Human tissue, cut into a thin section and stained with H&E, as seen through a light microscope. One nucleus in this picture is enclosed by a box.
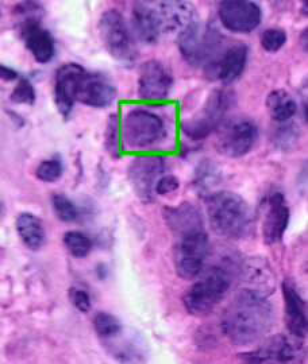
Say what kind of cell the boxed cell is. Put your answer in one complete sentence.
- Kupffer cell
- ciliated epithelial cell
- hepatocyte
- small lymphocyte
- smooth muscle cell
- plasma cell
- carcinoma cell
To be brief about it, the boxed cell is a carcinoma cell.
